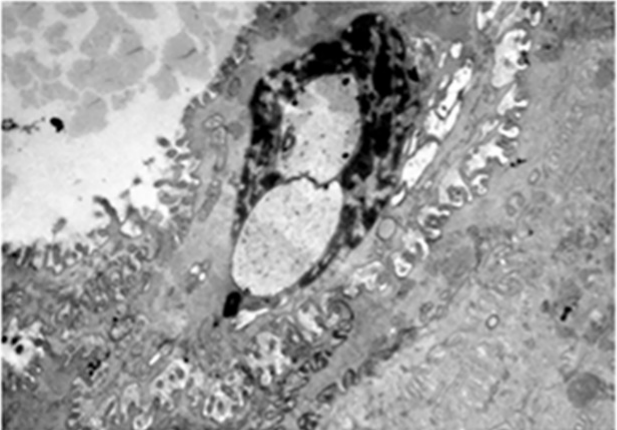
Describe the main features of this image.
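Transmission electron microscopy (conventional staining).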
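In the centre of this electron micrograph lie large rounded pale vacuoles enclosed by thick rims of very dark, clumped material. Around them the cells are of middling grey density, and their surfaces throw out many folded, finger-like projections into narrow spaces. Small dense bodies sit at the edges of the vacuolar structure.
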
